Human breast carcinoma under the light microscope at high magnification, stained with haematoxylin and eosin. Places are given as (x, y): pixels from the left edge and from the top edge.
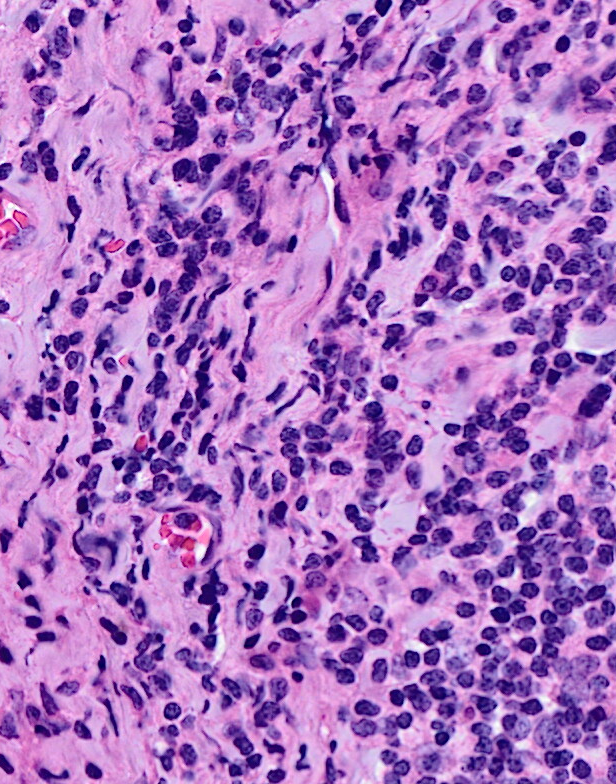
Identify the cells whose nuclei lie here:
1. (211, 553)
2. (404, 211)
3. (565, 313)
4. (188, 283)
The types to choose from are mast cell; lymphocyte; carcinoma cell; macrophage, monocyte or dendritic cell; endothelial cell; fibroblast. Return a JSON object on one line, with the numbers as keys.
{"1": "endothelial cell", "2": "lymphocyte", "3": "lymphocyte", "4": "lymphocyte"}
